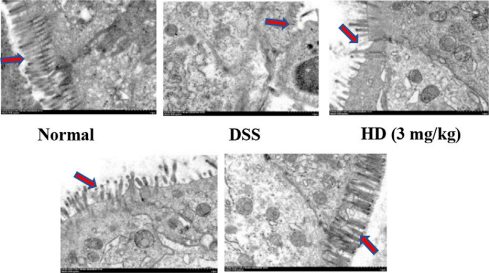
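Along the luminal border, marked by red arrows, the cell surface carries dense rows of slender, parallel finger-like projections in the best-preserved images; in others these projections are short, sparse or irregular. Below the border the cytoplasm contains scattered round to oval mitochondria with visible cristae, membranes and granular material, and in one image part of a dark nucleus appears. Neighbouring cells meet along fine lateral membranes running down from the surface.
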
